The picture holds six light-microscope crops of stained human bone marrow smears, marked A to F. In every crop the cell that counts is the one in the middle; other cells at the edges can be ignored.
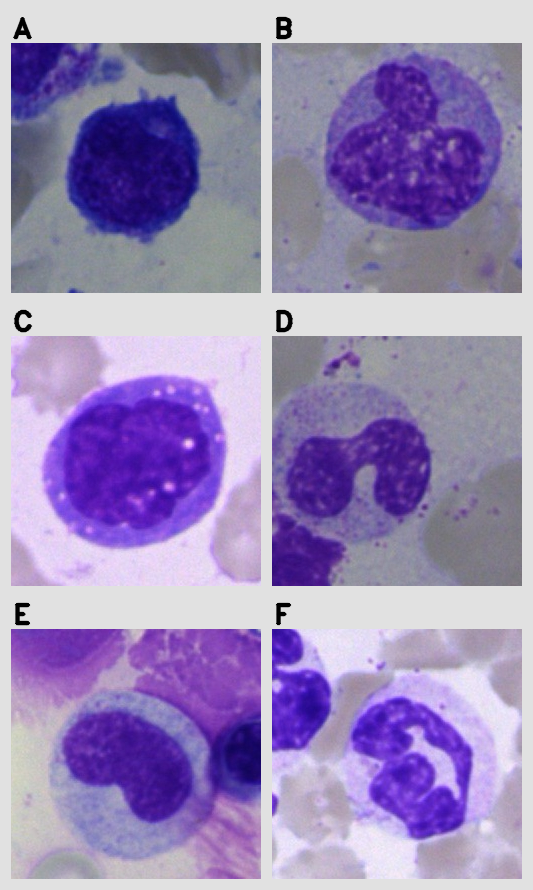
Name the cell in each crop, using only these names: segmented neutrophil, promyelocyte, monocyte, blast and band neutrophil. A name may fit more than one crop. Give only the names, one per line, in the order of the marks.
blast
monocyte
monocyte
band neutrophil
monocyte
segmented neutrophil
